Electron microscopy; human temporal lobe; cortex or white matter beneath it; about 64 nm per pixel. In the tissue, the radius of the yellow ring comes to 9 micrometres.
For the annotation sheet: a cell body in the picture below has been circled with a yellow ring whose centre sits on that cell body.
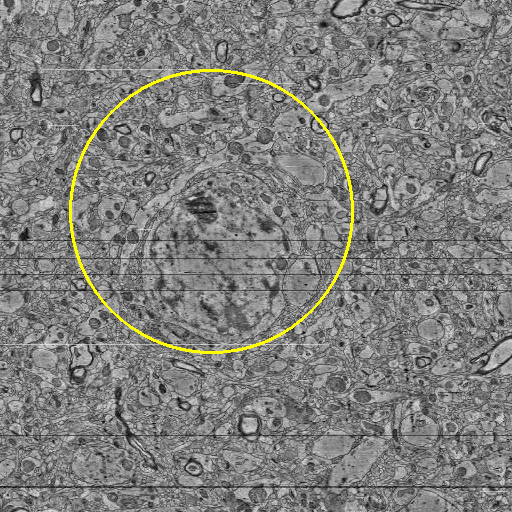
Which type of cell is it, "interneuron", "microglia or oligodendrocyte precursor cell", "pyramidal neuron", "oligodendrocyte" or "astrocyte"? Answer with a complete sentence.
The circled cell is an interneuron.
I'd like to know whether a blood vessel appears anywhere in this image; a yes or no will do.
No, no blood vessel can be seen.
